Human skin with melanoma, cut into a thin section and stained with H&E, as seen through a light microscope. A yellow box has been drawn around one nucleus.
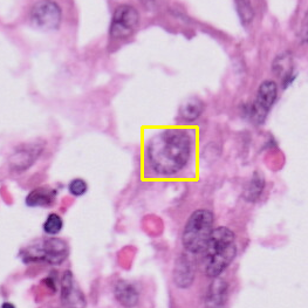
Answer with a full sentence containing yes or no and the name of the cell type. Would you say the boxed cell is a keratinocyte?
No, the boxed cell is termed a melanoma cell, not a keratinocyte.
